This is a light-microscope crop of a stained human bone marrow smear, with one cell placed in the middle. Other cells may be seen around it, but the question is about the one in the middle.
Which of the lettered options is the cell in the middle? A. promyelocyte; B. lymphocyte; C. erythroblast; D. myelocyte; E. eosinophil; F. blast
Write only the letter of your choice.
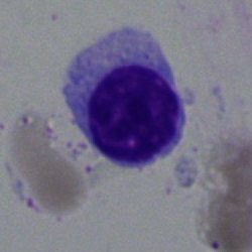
C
